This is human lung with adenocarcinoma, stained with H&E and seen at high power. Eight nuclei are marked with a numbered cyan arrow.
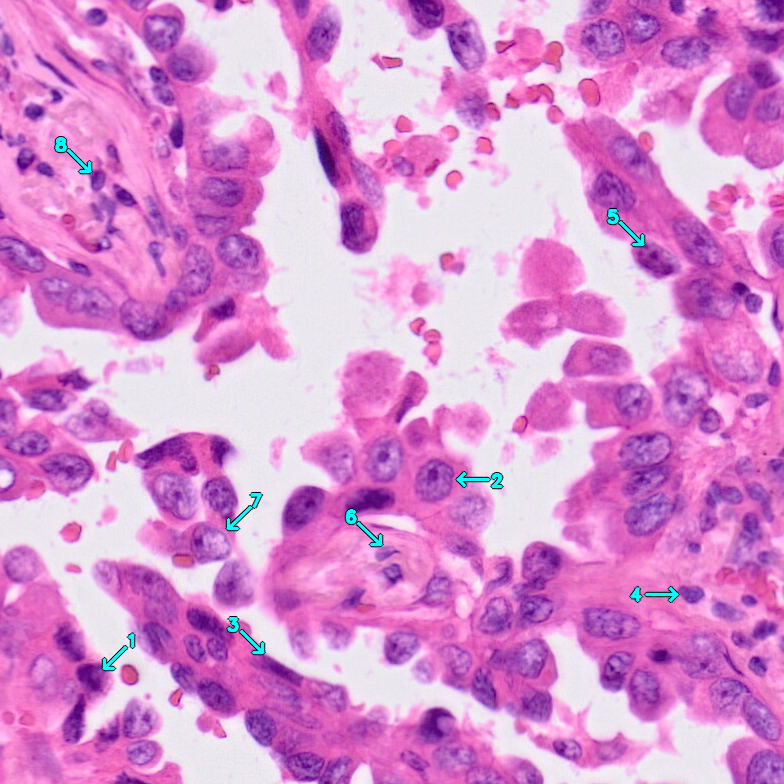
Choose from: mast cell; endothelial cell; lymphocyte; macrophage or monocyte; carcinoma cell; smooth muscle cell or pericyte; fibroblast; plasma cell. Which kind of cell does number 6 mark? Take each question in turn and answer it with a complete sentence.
The mark numbered 6 indicates the nucleus of a fibroblast.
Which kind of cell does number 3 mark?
The cell pointed out as number 3 is a carcinoma cell.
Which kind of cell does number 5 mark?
The one labeled 5 is a carcinoma cell, to put it simply.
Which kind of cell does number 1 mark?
Cell 1 of the marked set is a carcinoma cell.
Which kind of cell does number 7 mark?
The marked cell bearing number 7 is a carcinoma cell.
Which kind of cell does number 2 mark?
Heads up, the cell numbered 2 is a carcinoma cell.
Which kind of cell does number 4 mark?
The label 4 in this section denotes a lymphocyte.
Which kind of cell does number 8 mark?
The cell identified by number 8 is a plasma cell.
